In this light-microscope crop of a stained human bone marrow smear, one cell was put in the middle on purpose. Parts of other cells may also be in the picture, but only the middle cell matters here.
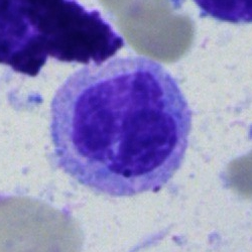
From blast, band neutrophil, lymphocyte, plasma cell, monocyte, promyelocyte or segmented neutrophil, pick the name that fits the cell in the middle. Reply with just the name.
monocyte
